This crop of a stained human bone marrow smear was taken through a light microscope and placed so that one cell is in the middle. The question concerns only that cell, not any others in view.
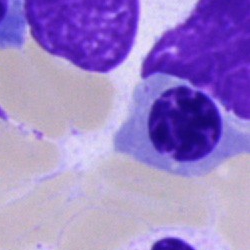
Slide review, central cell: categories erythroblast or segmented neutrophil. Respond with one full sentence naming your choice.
The crop's centre is taken up by an erythroblast.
